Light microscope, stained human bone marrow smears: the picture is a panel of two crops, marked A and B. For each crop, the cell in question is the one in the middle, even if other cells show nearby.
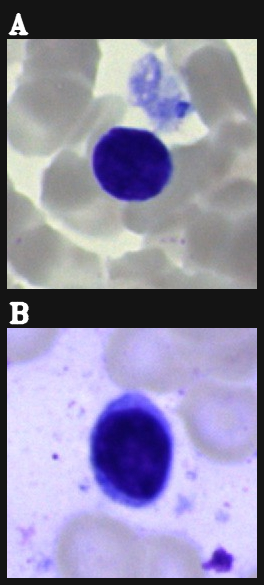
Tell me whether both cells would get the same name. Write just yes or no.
yes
